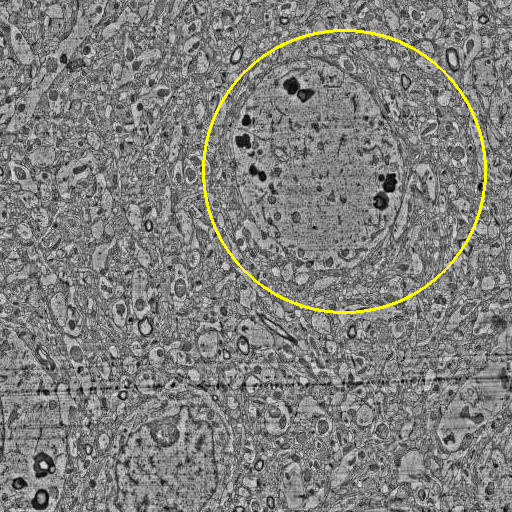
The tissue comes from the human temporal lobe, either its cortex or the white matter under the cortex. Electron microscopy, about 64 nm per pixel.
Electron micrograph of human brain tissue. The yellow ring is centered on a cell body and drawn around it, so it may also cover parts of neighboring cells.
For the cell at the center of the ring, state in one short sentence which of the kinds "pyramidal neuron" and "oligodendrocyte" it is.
This ring is centered on a pyramidal neuron.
